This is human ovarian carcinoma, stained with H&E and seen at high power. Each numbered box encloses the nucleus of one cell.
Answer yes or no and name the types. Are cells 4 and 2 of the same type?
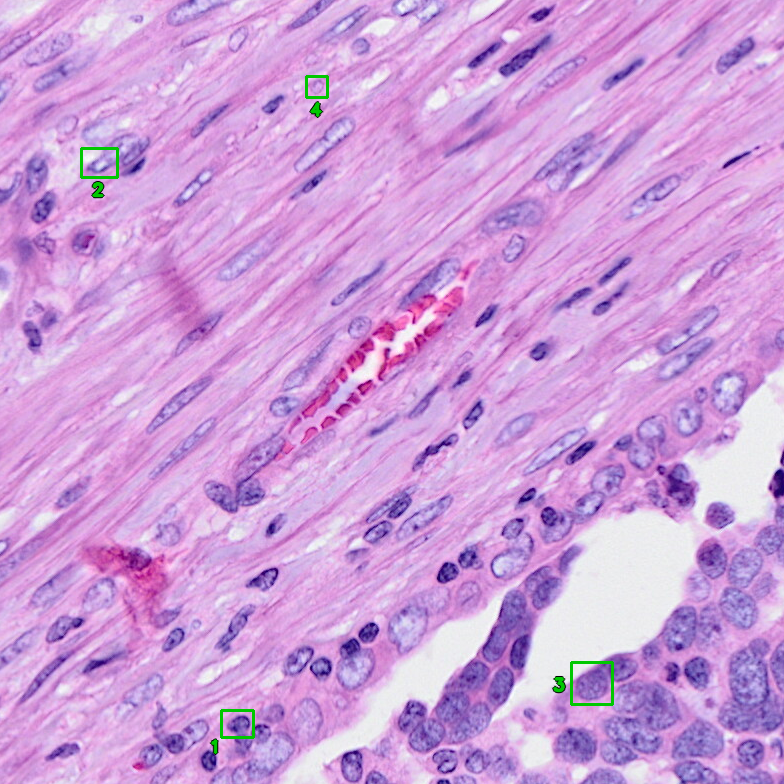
Yes, both are fibroblasts.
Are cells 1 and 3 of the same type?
No, cell 1 is a lymphocyte and cell 3 is a carcinoma cell.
